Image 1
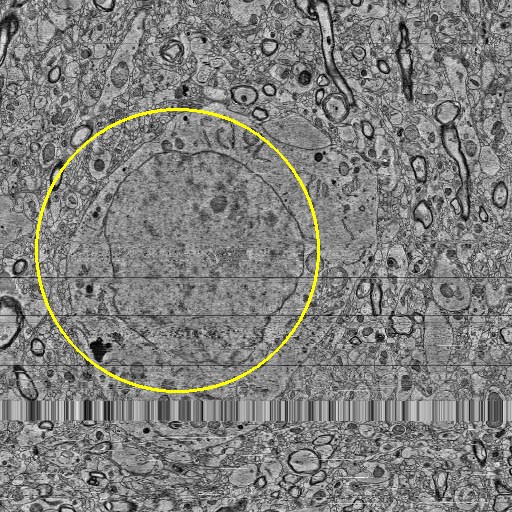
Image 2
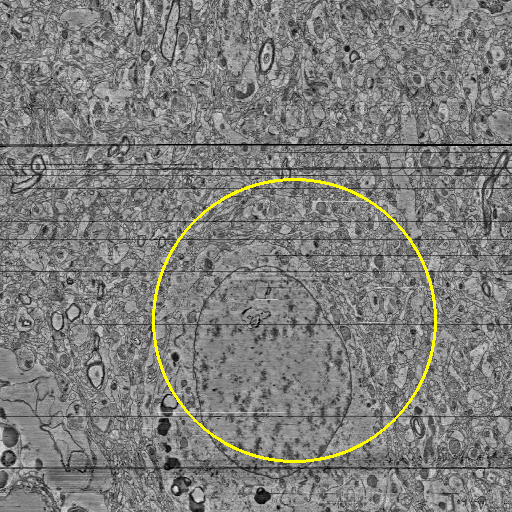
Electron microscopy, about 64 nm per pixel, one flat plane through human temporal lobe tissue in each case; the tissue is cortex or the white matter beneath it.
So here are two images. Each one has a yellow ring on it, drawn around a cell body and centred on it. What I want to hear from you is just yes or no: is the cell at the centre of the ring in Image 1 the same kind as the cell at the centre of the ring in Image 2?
yes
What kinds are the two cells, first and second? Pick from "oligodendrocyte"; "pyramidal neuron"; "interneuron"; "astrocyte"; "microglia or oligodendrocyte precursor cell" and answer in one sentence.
The cell in the first picture is a pyramidal neuron, and so is the one in the second.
